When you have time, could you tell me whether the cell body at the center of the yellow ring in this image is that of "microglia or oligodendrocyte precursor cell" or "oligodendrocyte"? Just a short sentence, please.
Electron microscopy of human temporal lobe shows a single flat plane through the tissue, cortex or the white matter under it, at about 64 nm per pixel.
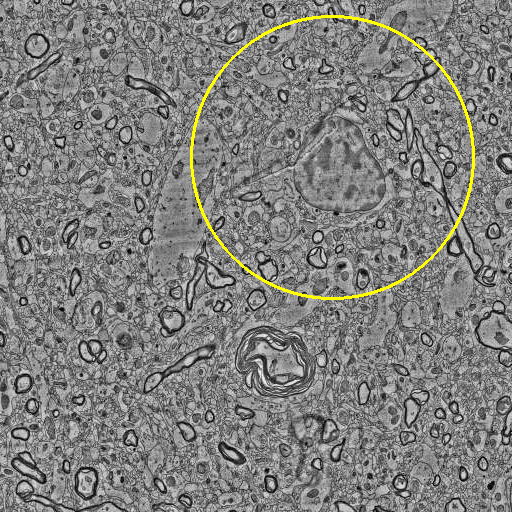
The cell body at the center of the ring is that of a microglial cell or oligodendrocyte precursor cell.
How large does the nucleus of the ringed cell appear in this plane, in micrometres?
About 6 by 5 micrometers, in this plane.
